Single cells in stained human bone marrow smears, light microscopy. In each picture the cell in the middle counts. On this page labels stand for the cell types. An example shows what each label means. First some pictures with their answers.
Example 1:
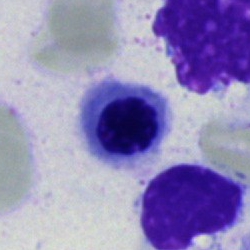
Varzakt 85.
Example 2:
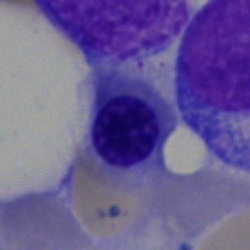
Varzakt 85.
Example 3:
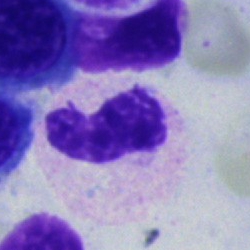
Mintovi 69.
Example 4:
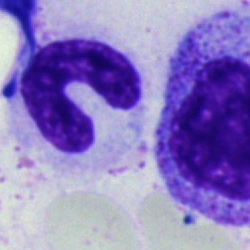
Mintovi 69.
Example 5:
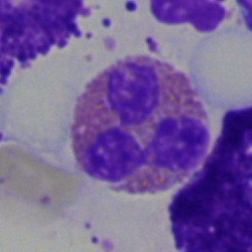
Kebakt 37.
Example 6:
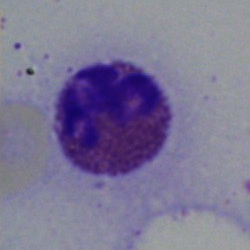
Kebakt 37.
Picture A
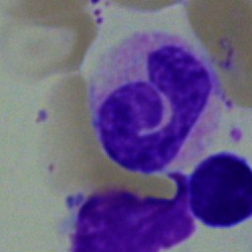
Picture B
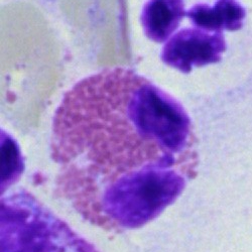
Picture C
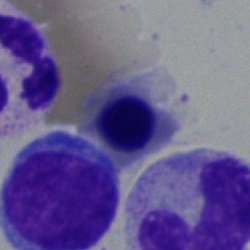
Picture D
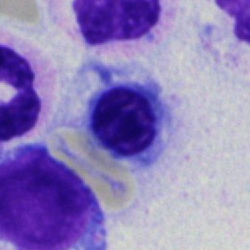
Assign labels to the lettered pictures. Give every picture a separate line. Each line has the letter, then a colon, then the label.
A: Mintovi 69.
B: Kebakt 37.
C: Varzakt 85.
D: Varzakt 85.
